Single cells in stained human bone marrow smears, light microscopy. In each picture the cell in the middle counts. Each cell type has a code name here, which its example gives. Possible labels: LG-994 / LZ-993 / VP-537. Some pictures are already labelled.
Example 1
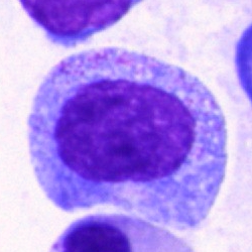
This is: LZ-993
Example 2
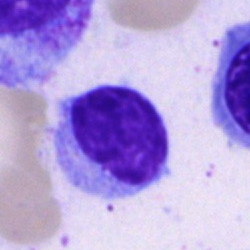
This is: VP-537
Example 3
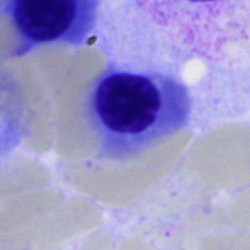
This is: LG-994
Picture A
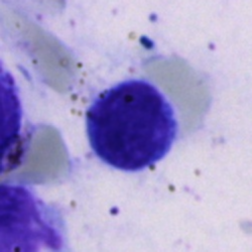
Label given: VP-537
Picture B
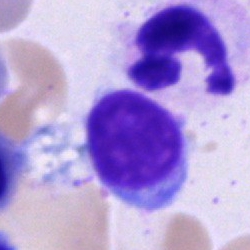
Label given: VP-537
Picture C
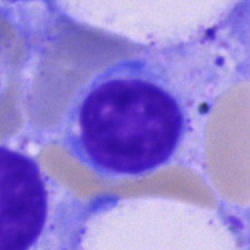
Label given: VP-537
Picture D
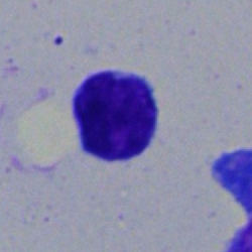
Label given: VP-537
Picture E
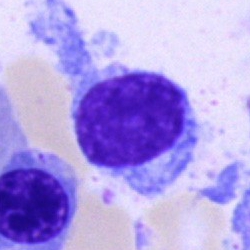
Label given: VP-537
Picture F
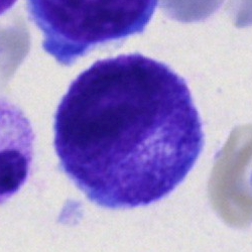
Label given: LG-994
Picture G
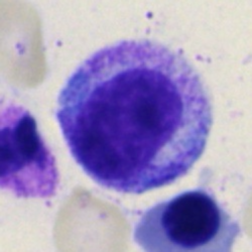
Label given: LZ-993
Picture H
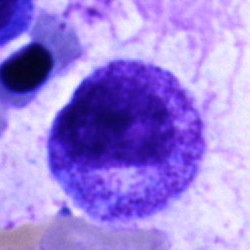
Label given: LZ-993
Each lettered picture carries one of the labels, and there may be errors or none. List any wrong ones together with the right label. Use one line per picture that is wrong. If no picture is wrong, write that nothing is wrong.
Wrong: F (LG-994); correct: LZ-993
